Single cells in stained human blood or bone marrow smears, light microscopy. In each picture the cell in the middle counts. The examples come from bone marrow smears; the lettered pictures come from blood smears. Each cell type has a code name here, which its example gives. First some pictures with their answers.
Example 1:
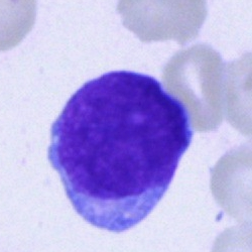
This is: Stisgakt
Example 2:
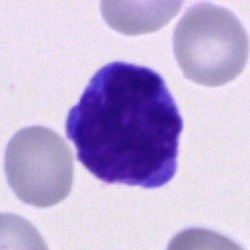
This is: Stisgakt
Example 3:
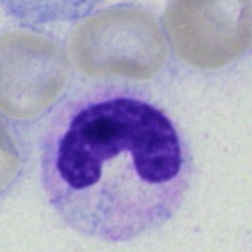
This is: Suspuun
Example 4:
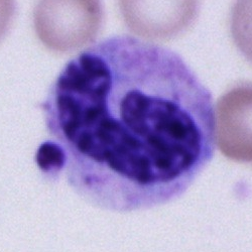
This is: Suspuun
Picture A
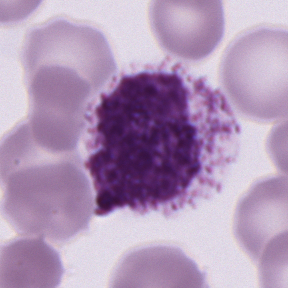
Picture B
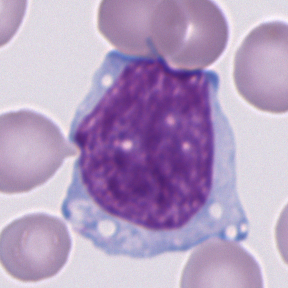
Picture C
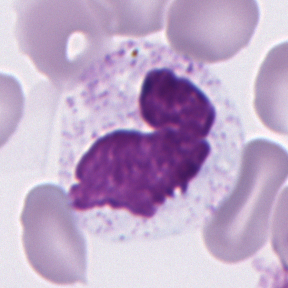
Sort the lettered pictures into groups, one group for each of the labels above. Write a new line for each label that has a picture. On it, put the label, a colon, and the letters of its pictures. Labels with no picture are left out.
Stisgakt: B
Suspuun: A, C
